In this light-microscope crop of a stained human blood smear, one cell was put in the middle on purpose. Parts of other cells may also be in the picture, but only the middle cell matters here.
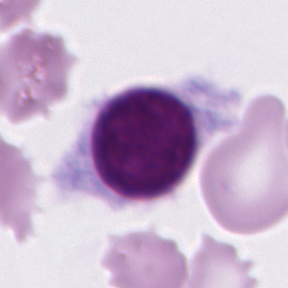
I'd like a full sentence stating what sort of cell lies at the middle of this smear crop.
The middle cell in this particular crop is a hairy cell.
